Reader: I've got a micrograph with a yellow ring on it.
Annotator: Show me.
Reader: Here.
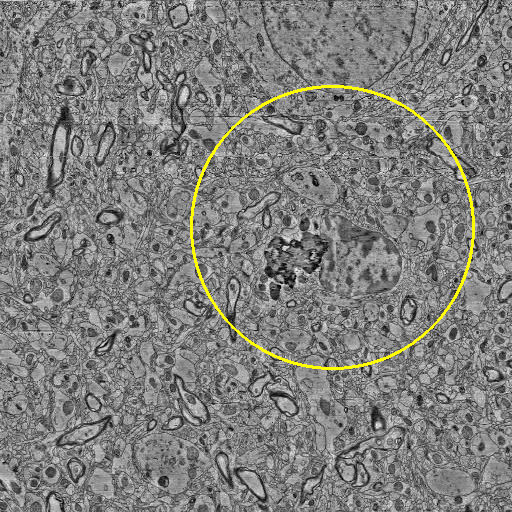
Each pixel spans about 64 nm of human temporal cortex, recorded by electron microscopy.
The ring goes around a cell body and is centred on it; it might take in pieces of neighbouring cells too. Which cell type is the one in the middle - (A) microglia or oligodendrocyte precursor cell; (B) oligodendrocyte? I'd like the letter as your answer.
A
